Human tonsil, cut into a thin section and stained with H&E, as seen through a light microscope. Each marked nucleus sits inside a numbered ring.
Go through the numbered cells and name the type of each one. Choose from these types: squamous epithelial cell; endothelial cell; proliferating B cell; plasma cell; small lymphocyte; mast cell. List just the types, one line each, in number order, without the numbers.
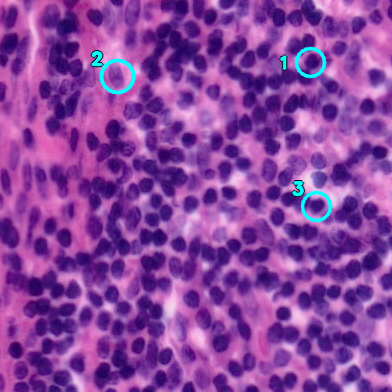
small lymphocyte
endothelial cell
small lymphocyte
